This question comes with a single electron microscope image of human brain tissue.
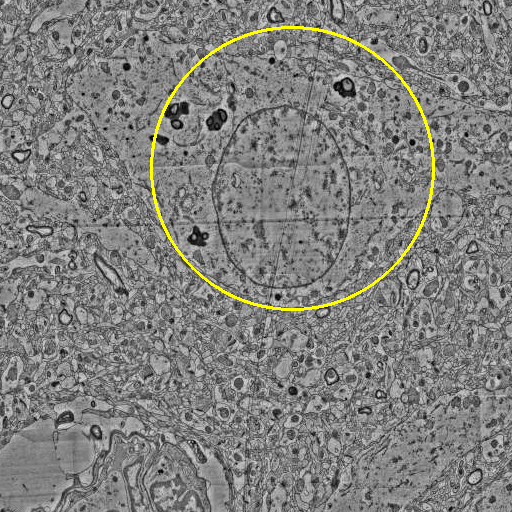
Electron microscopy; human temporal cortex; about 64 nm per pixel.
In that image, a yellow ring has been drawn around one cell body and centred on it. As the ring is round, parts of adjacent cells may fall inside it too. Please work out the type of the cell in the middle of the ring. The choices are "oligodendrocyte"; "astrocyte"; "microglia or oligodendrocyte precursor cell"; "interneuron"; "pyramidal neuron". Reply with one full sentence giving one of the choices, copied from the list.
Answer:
Of the choices, a pyramidal neuron is the cell sitting in the middle of the ring.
